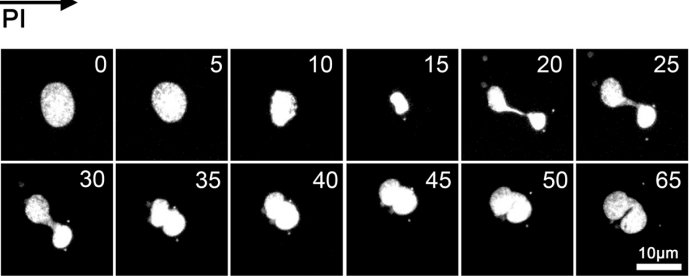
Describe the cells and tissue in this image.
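Time-lapse fluorescence series of the chromatin of a single dividing cell, shown white on black. At first there is one smooth oval nucleus. It then shrinks into a compact, bright, irregular mass. This mass stretches and splits into two bodies that remain linked by a thin strand of chromatin running between them. In the following frames the two bodies do not move apart; the strand shortens and they draw back together, finally forming a single large nucleus with a lobed, notched outline instead of two separate daughter nuclei. A few tiny bright dots lie near the chromatin.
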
